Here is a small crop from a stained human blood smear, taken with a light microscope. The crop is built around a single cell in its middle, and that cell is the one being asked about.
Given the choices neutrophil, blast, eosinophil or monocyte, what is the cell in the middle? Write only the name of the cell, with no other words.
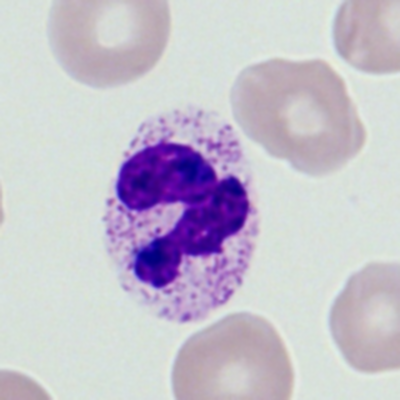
neutrophil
